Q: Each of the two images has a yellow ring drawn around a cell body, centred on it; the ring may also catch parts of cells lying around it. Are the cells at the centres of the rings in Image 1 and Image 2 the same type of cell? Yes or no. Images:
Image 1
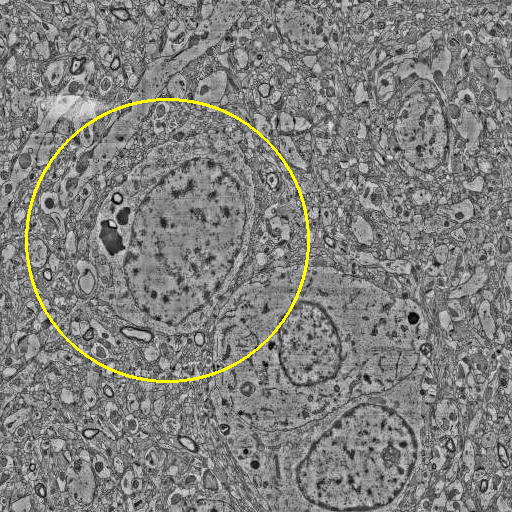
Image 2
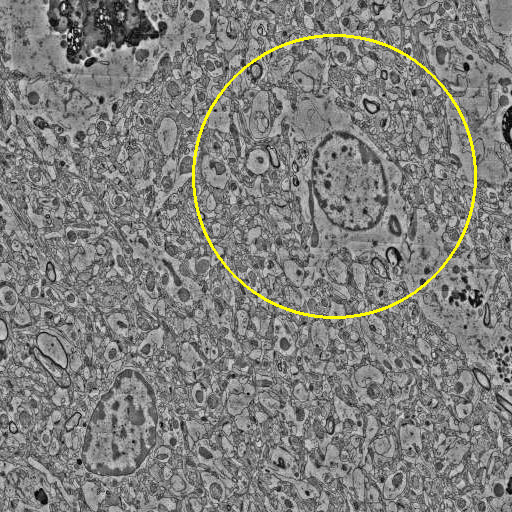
no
